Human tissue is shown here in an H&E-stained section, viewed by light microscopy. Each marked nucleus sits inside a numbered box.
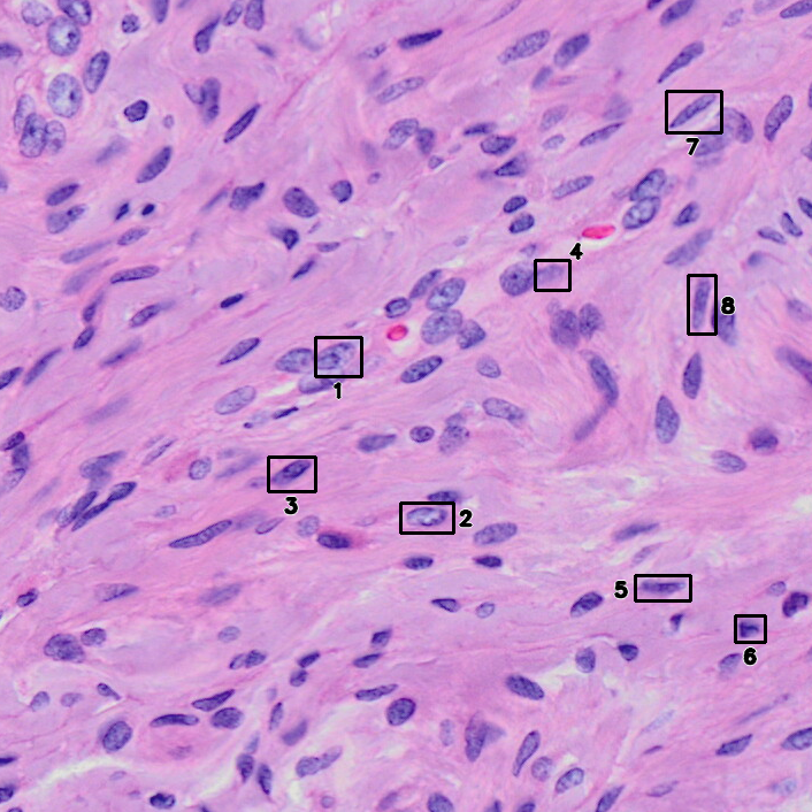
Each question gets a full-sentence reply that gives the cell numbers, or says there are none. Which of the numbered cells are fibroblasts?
The numbers 3, 5, 6, 7 and 8 refer to cells that are fibroblasts.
